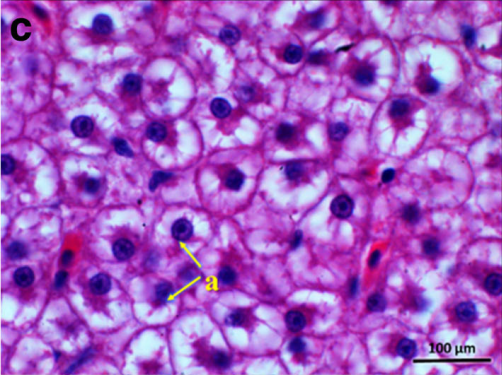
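Liver tissue of polygonal hepatocytes with distinct pink cell borders, arranged closely side by side. A few red blood cells lie in narrow spaces between the cells.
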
